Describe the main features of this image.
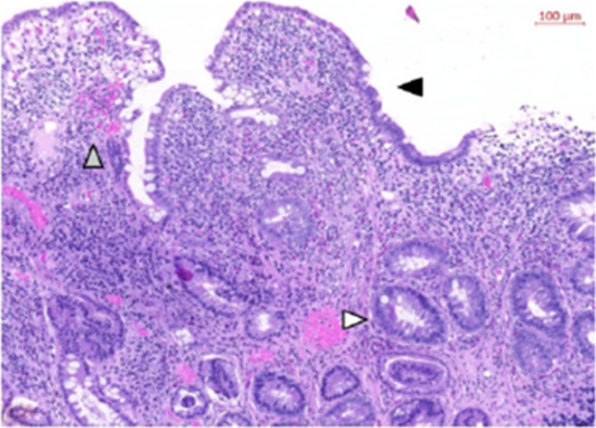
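This inflamed intestinal mucosa shows a flattened surface epithelium without tall slender villi, and goblet cells are scarce in the lining. The lamina propria is densely crowded with small dark-nucleated inflammatory cells, among which granulocytes can be found. Glands cut across in the deeper mucosa have crowded, darker epithelial nuclei, and loose pale areas with pink extravasated material lie between them.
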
